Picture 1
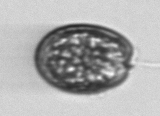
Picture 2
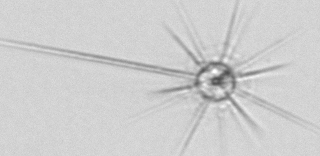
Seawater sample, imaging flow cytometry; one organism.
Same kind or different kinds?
Different: the first is Prorocentrum, the second a radiolarian.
